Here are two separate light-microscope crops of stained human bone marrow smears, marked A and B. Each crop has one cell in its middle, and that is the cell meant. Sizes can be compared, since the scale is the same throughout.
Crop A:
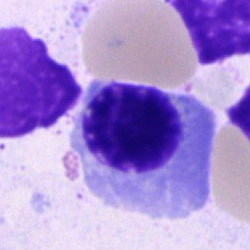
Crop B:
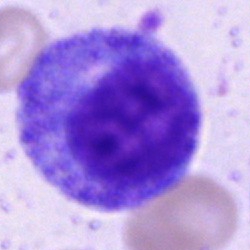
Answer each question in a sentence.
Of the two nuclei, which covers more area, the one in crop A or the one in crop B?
It is the nucleus in crop B, about 2 times as large in area as the one in crop A.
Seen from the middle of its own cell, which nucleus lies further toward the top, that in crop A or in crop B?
Seen within its cell, the nucleus in crop A lies further toward the top.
